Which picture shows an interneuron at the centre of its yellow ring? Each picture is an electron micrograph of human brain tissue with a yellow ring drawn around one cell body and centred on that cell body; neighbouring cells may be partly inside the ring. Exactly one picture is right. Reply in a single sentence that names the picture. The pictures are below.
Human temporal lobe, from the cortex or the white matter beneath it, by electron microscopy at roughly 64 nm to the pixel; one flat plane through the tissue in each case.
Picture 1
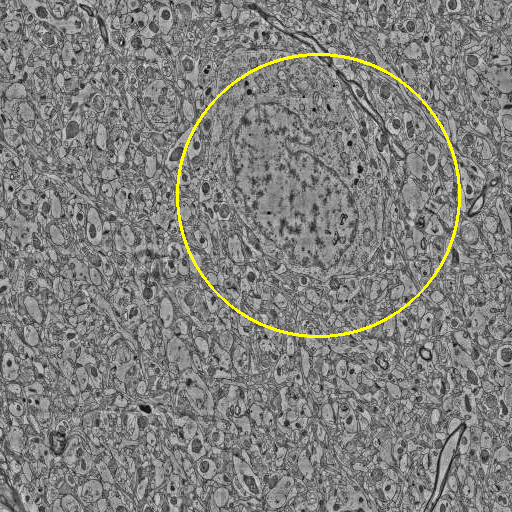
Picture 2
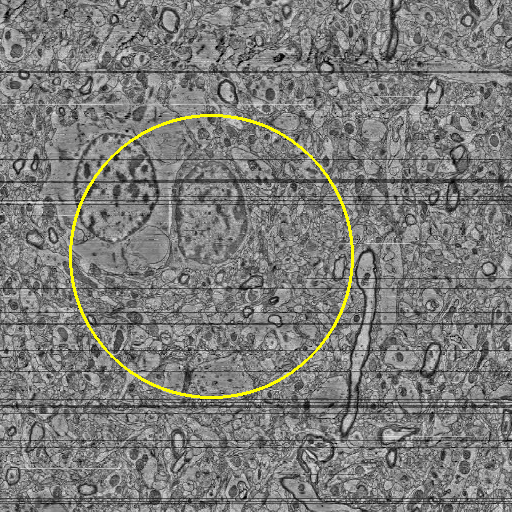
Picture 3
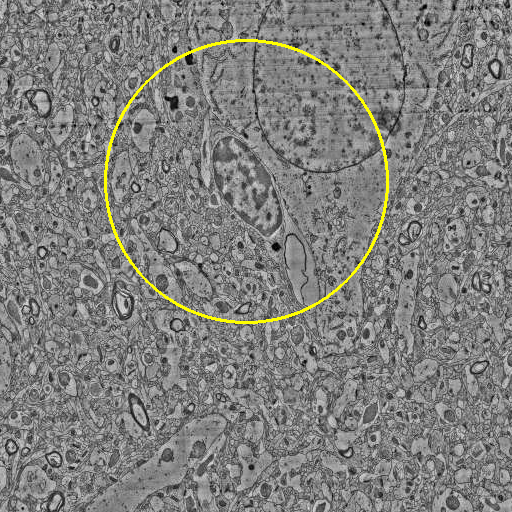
Picture 1 shows it.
